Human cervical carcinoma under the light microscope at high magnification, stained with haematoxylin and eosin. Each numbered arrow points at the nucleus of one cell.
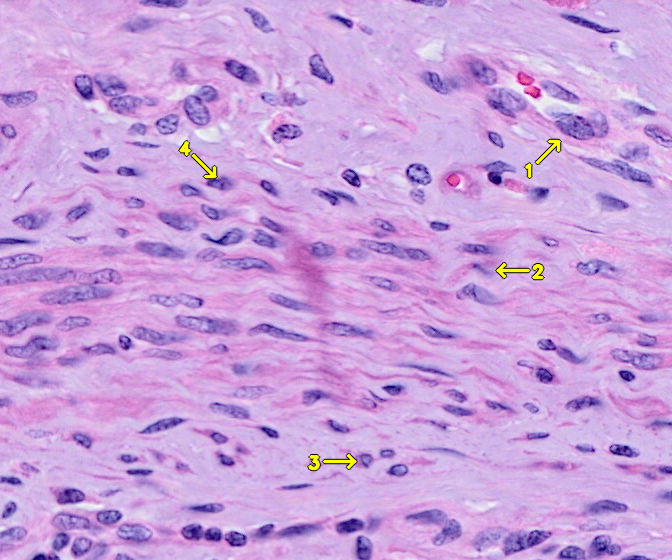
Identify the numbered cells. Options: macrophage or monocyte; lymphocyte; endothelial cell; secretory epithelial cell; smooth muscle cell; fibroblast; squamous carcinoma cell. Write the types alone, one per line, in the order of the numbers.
endothelial cell
smooth muscle cell
smooth muscle cell
smooth muscle cell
